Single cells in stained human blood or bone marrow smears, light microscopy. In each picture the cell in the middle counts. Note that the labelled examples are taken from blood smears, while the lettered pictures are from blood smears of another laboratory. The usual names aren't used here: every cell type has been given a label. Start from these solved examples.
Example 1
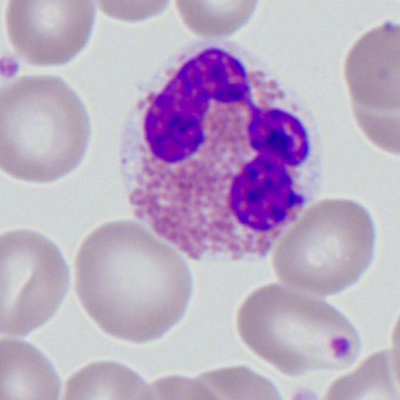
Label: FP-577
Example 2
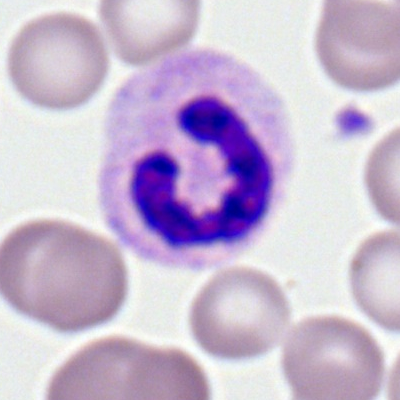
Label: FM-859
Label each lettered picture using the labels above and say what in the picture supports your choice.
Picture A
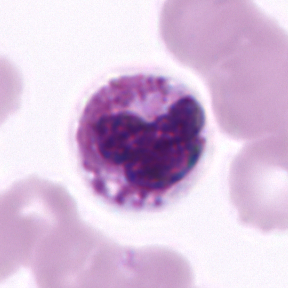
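FP-577. Coarse purple granules lie scattered over the cytoplasm and over the nucleus.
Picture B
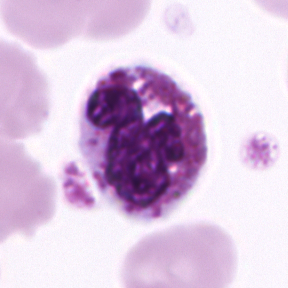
FP-577. Coarse pinkish-violet granules are scattered through the cytoplasm.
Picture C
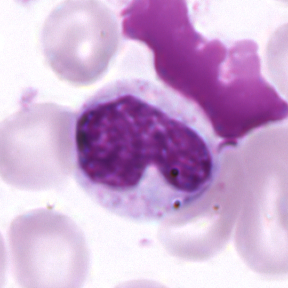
FM-859. Fine pinkish-lilac granules are scattered sparsely through the cytoplasm.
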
